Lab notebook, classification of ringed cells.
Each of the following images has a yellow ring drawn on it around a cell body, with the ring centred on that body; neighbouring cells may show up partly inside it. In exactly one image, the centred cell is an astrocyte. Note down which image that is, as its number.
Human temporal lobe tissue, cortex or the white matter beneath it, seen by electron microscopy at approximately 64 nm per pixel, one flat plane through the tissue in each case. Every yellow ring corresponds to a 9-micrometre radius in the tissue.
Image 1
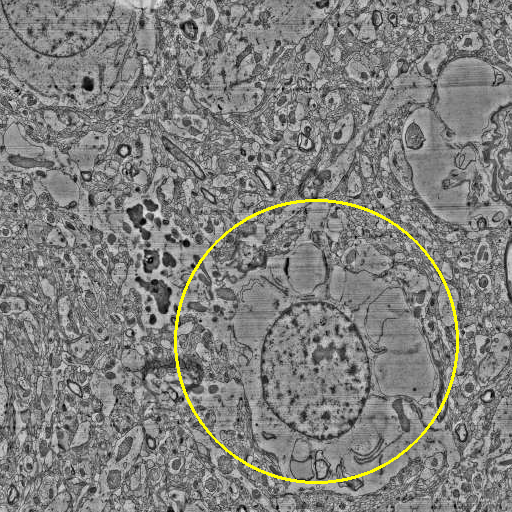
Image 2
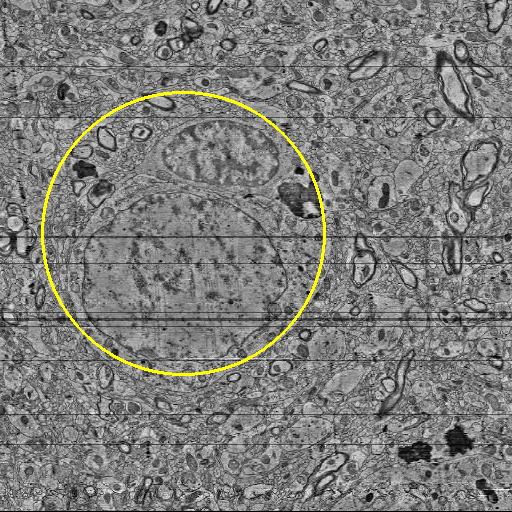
1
